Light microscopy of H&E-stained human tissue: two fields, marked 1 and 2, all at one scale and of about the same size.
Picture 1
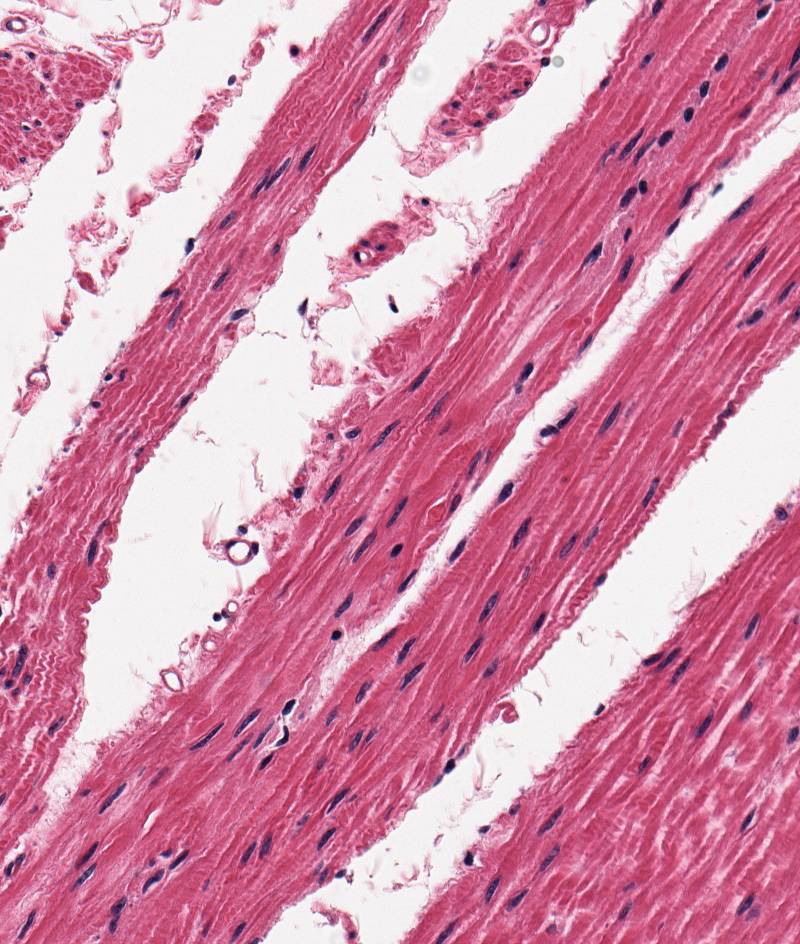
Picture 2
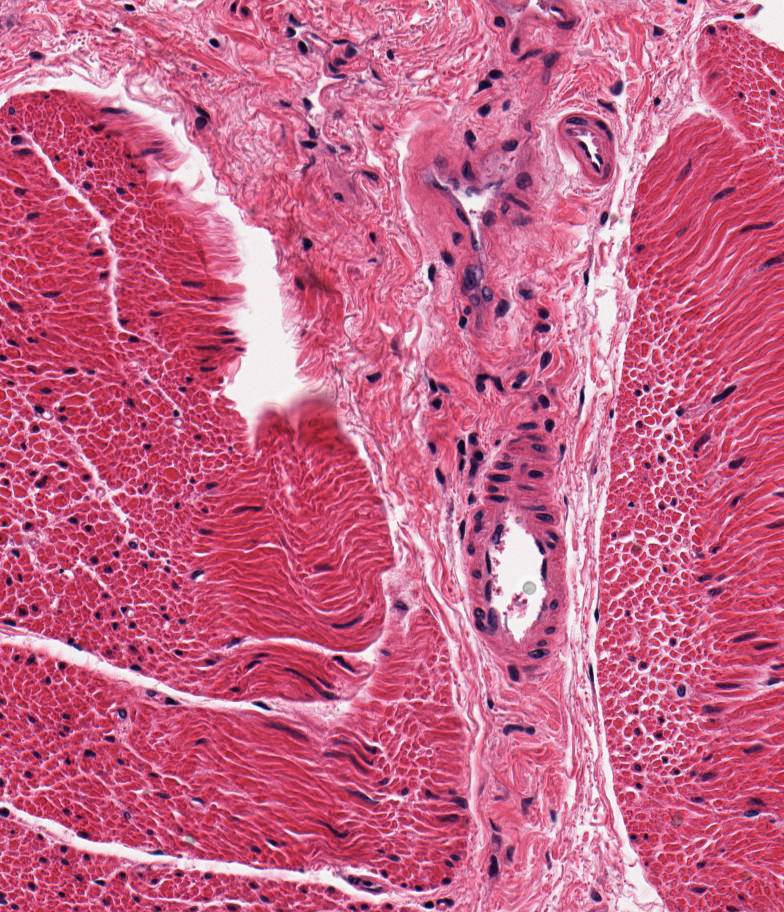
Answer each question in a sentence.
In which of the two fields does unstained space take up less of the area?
Less of picture 2 is empty and white.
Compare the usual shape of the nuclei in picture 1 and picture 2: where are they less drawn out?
The nuclei are rounder in picture 2.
